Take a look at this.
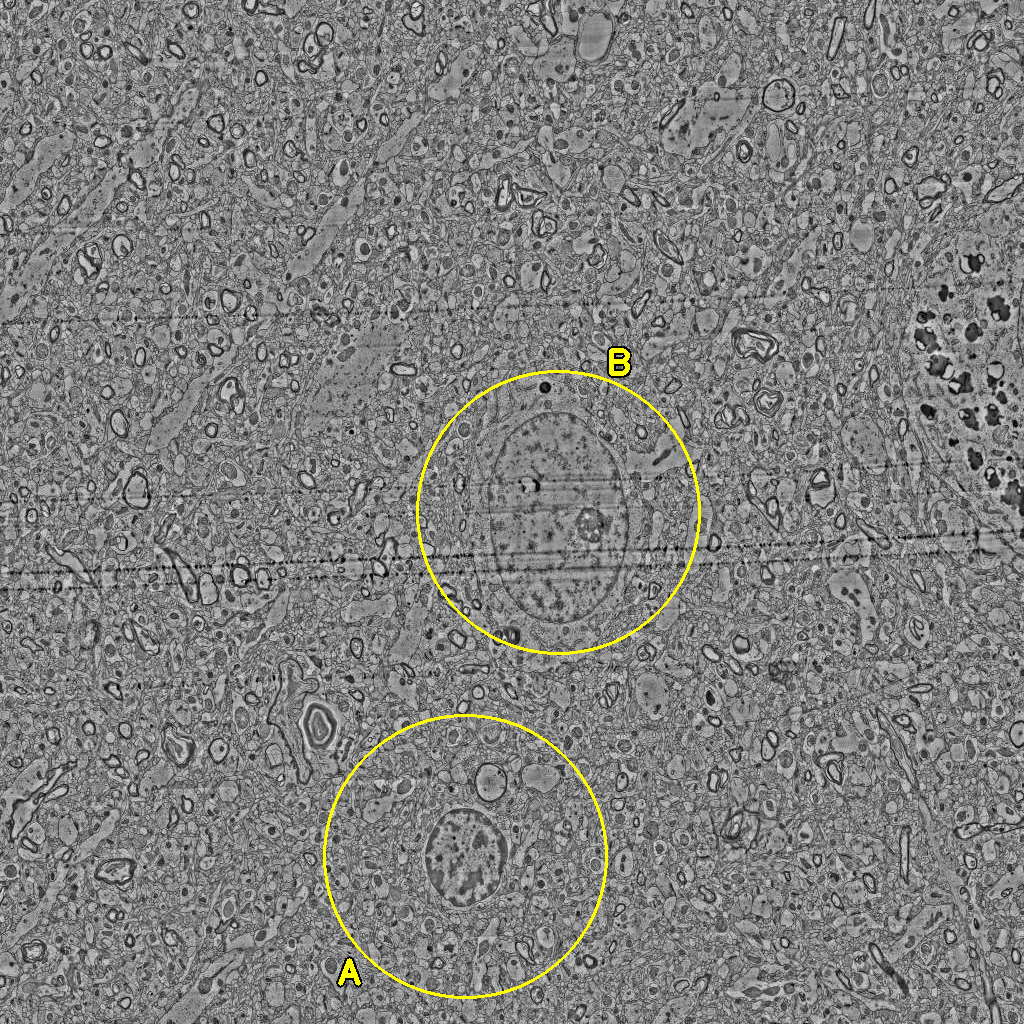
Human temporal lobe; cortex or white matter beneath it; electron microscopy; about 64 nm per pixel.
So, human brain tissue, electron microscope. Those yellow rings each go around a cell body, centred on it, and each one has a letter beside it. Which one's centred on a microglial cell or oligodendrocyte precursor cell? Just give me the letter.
A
